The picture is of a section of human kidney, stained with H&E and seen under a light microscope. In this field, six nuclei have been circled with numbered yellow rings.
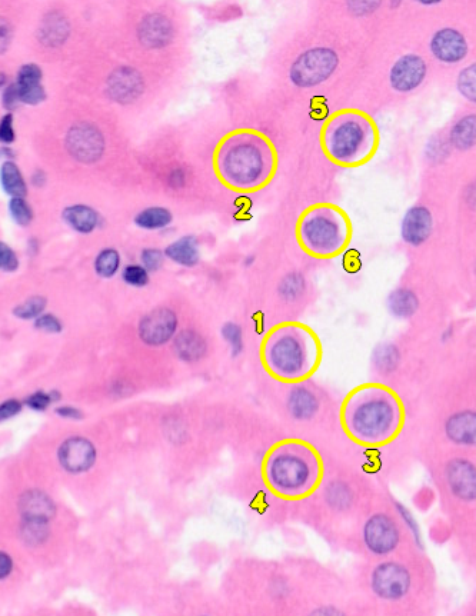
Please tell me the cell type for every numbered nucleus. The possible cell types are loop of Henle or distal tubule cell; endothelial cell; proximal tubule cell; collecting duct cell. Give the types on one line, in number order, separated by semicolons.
loop of Henle or distal tubule cell; proximal tubule cell; loop of Henle or distal tubule cell; proximal tubule cell; loop of Henle or distal tubule cell; loop of Henle or distal tubule cell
